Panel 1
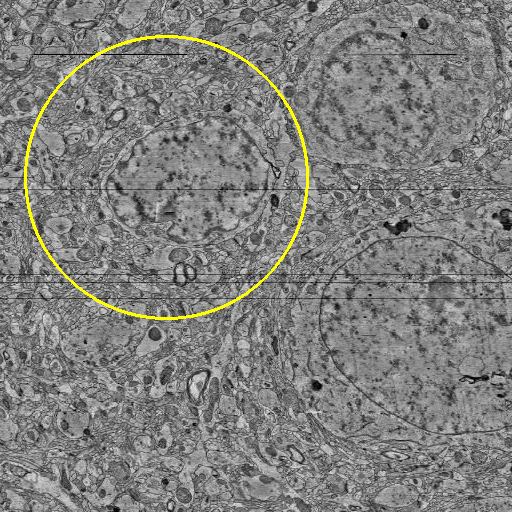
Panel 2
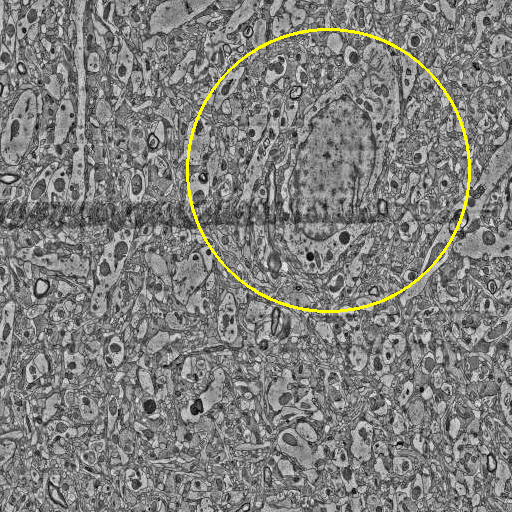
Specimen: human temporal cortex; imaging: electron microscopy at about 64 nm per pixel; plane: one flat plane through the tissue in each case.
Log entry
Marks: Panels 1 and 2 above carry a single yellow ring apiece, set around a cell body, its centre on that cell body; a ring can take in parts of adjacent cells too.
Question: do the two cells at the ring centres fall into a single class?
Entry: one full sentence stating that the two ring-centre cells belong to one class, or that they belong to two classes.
The two ring-centre cells in Panels 1 and 2 belong to one class.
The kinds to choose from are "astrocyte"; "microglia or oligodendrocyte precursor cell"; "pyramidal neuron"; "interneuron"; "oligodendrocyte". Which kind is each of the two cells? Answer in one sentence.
Both cells are the same kind, each one being an interneuron.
